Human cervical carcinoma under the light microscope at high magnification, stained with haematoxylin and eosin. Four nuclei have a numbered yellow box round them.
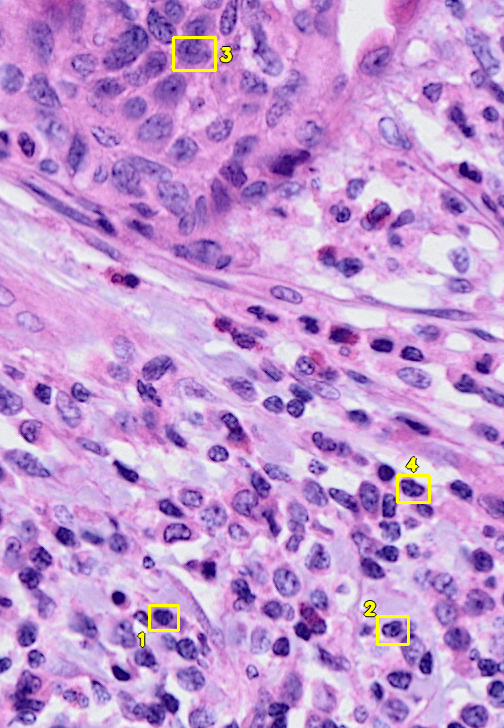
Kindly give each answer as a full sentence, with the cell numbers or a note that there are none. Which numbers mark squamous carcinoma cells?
The only cell among those numbered to be a squamous carcinoma cell is number 3.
